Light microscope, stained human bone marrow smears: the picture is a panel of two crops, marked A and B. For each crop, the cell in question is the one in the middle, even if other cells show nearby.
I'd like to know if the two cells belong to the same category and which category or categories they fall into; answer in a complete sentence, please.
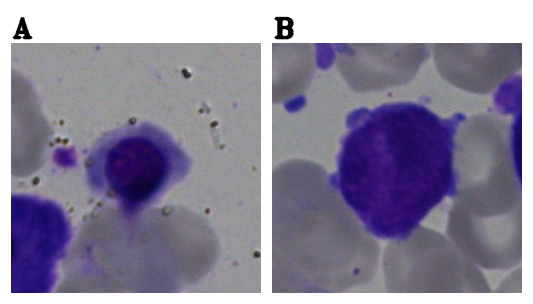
No, at the centre of crop A is a normoblast, and at the centre of crop B is a blast.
